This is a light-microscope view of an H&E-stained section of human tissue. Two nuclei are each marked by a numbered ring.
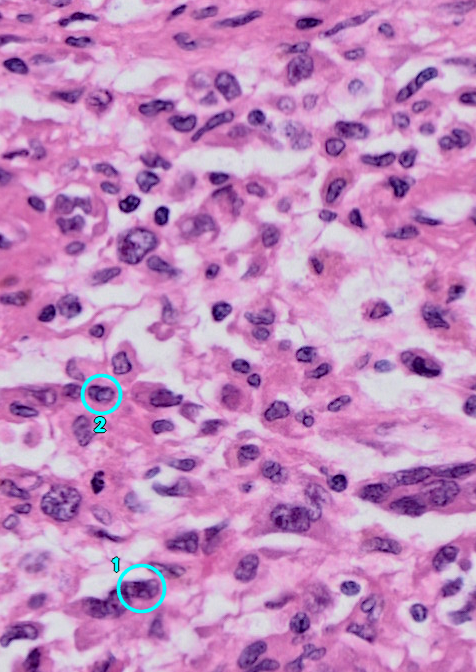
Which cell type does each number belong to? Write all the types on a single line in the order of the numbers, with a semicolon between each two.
melanoma cell; macrophage or monocyte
